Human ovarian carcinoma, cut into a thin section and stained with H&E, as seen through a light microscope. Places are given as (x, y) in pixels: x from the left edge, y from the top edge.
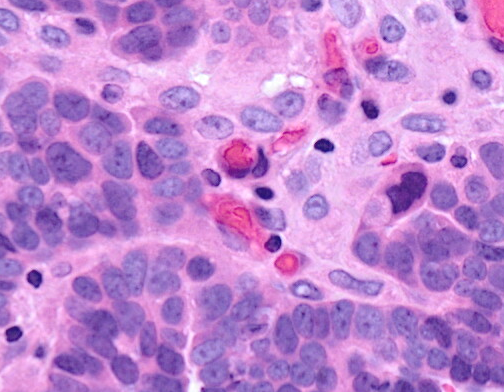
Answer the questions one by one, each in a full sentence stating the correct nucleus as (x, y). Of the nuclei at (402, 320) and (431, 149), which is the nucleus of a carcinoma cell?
The nucleus at (402, 320) is attributed to a carcinoma cell, unlike the other nucleus.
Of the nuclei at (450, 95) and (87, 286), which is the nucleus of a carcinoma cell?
The nucleus at (87, 286) is the one of the two that belongs to a carcinoma cell.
